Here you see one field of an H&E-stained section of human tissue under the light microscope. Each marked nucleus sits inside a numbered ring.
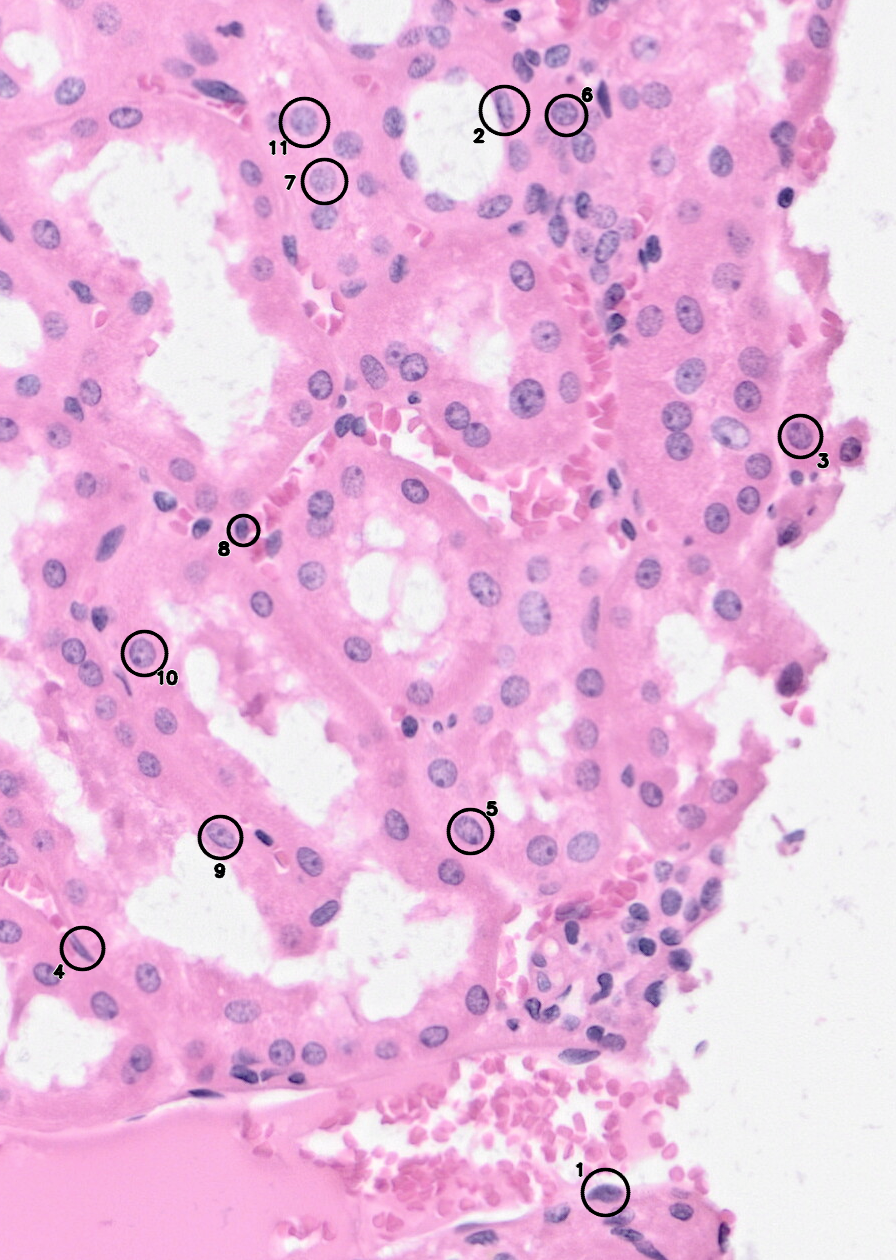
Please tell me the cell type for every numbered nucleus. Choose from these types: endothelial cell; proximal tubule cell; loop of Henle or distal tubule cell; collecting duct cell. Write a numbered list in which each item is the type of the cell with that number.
1. endothelial cell
2. loop of Henle or distal tubule cell
3. proximal tubule cell
4. endothelial cell
5. proximal tubule cell
6. collecting duct cell
7. loop of Henle or distal tubule cell
8. endothelial cell
9. proximal tubule cell
10. proximal tubule cell
11. loop of Henle or distal tubule cell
